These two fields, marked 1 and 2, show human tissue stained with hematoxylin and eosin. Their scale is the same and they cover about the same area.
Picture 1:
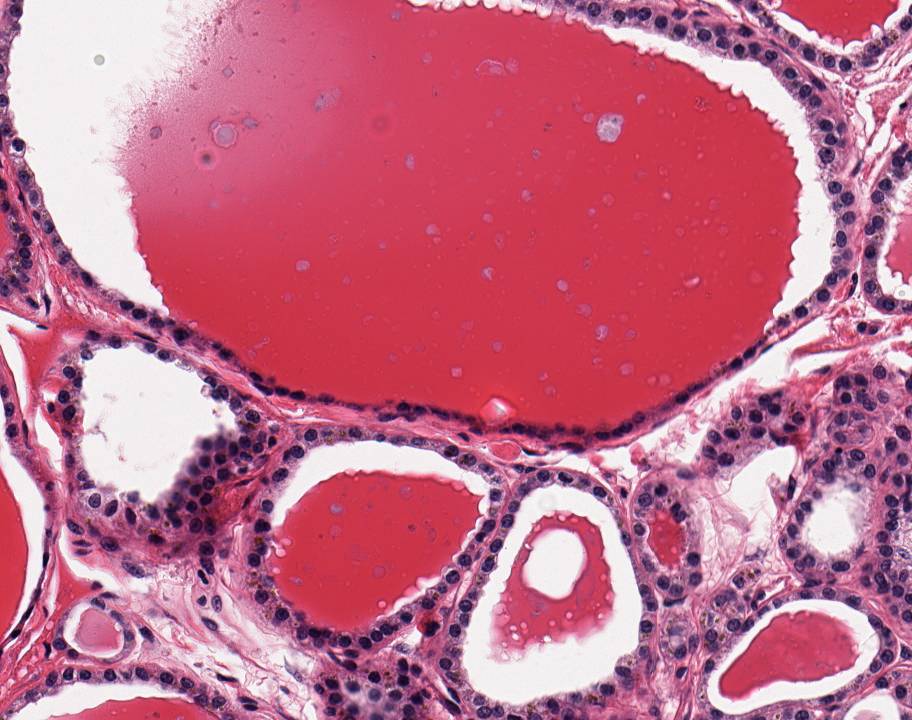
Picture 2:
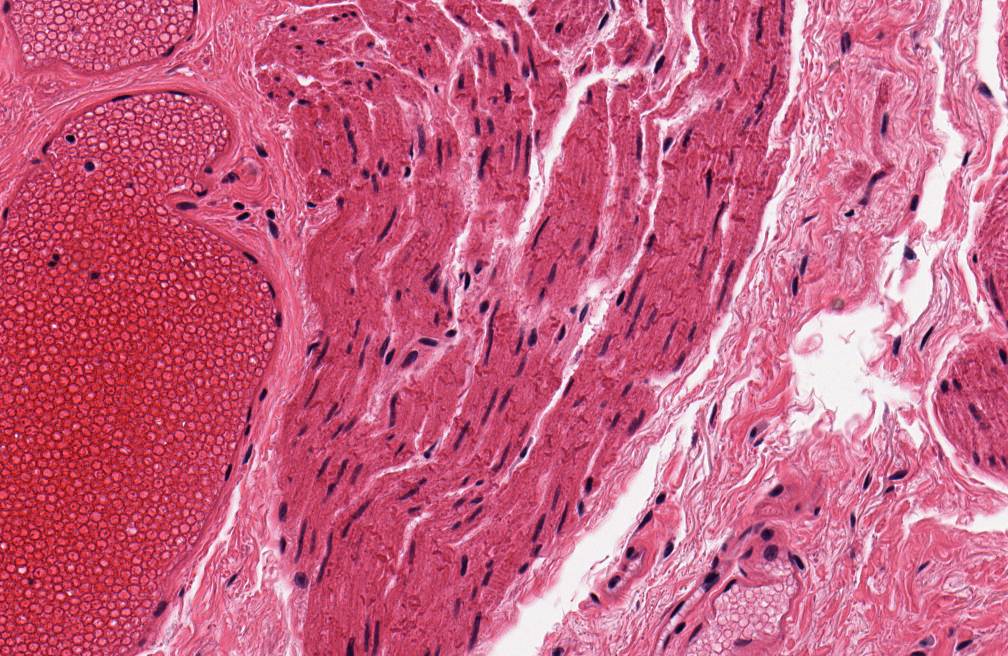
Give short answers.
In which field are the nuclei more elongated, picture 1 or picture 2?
2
